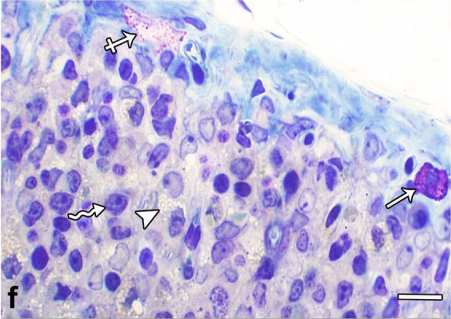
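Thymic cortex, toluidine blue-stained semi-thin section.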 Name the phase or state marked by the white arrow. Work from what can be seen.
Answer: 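The arrow points to a compact cell densely packed with purple granules. No granules are scattered outside its outline.
Answer: fully granulated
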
